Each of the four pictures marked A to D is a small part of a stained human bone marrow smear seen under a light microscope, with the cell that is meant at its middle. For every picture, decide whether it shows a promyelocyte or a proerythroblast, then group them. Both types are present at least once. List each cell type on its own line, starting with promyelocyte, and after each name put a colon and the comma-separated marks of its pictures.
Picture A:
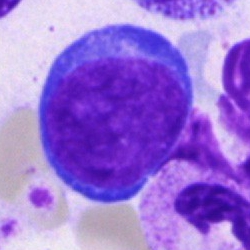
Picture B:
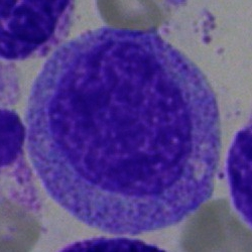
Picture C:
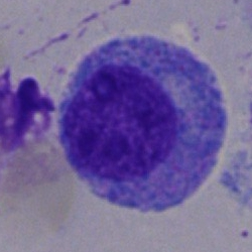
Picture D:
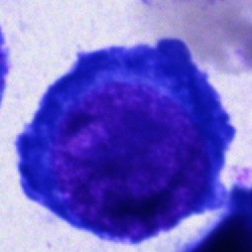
promyelocyte: B, C
proerythroblast: A, D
